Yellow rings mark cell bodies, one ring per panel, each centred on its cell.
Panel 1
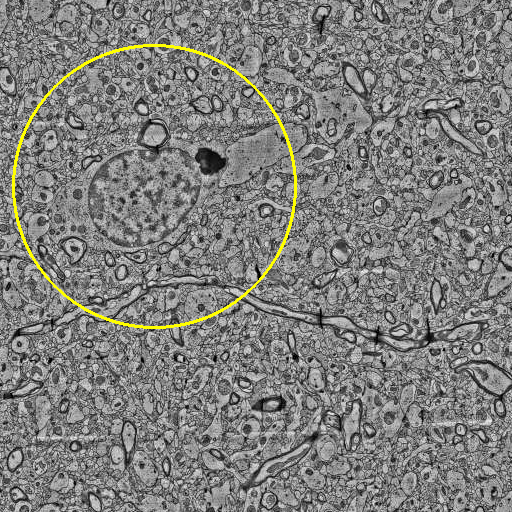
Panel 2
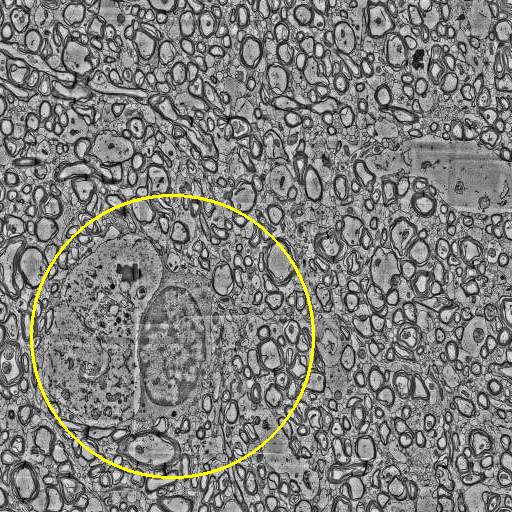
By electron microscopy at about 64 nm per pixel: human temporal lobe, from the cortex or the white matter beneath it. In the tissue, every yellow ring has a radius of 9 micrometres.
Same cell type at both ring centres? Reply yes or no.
yes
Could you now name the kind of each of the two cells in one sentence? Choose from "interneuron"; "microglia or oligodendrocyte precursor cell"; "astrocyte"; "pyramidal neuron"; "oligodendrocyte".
The cell in the first picture is an oligodendrocyte, and so is the one in the second.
